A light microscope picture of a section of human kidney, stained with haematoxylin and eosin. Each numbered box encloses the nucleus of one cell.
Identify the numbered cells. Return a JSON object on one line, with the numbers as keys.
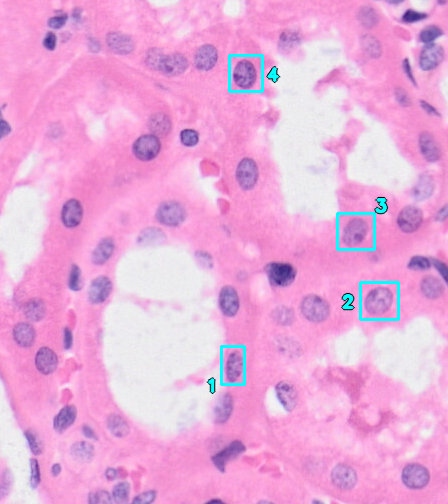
{"1": "loop of Henle or distal tubule cell", "2": "proximal tubule cell", "3": "proximal tubule cell", "4": "proximal tubule cell"}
